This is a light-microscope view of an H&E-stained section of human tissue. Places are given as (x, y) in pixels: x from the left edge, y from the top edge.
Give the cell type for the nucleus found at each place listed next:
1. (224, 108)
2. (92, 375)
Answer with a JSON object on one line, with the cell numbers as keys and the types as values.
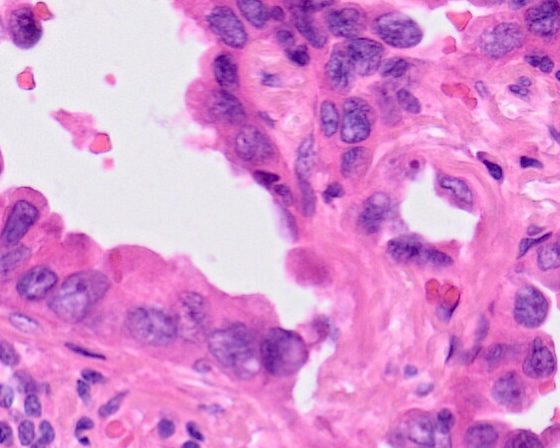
{"1": "carcinoma cell", "2": "lymphocyte"}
